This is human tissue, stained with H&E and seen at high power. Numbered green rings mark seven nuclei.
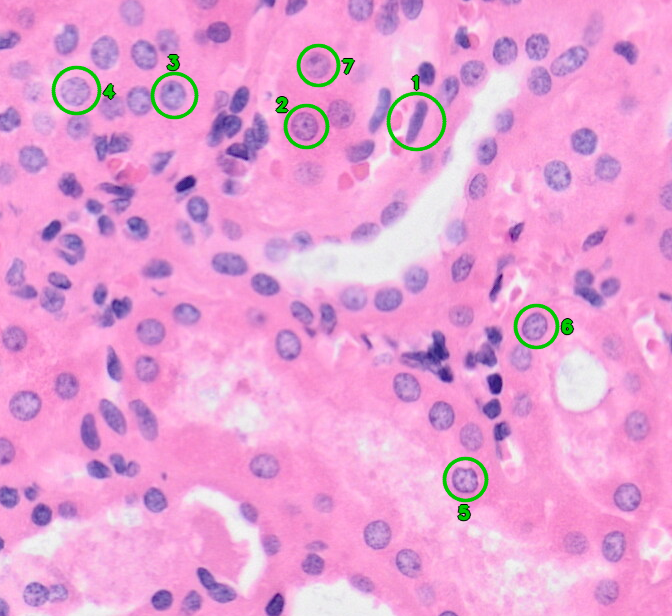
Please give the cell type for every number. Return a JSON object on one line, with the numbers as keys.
{"1": "endothelial cell", "2": "proximal tubule cell", "3": "loop of Henle or distal tubule cell", "4": "loop of Henle or distal tubule cell", "5": "proximal tubule cell", "6": "proximal tubule cell", "7": "proximal tubule cell"}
